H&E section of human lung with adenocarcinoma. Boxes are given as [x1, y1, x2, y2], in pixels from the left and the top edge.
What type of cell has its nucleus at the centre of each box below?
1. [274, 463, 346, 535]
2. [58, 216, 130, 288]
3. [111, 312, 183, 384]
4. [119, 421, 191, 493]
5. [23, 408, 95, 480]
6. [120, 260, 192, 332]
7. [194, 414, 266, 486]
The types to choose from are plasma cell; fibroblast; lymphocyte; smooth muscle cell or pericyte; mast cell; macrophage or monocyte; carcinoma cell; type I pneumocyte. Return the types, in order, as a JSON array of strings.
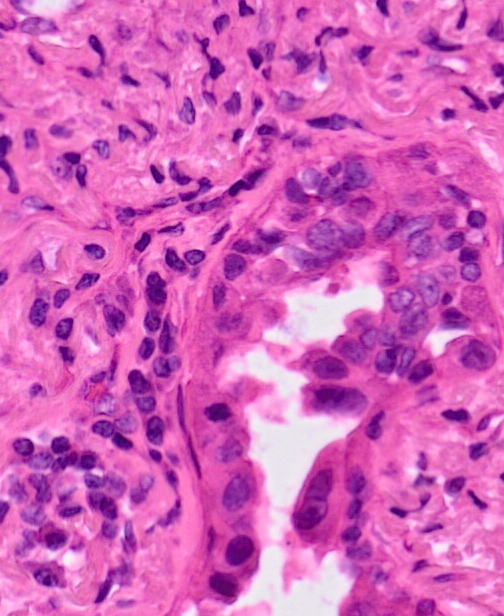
["carcinoma cell", "lymphocyte", "lymphocyte", "lymphocyte", "lymphocyte", "plasma cell", "carcinoma cell"]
